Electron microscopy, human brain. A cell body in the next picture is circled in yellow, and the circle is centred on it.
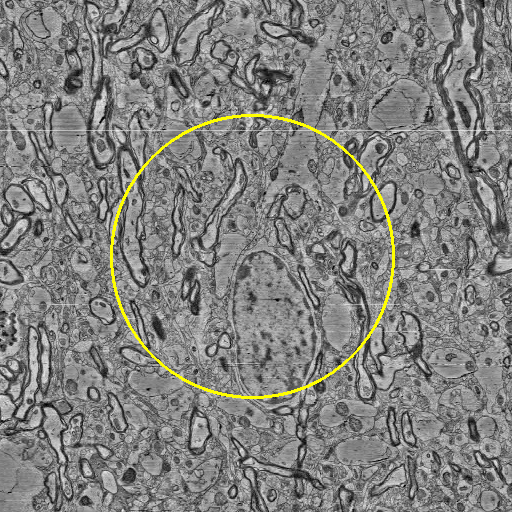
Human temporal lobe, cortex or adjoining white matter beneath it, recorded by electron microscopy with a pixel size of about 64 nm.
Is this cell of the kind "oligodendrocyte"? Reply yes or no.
no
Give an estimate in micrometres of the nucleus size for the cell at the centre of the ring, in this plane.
About 10 by 5 micrometers in this plane, so the nucleus is clearly longer than it is wide.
